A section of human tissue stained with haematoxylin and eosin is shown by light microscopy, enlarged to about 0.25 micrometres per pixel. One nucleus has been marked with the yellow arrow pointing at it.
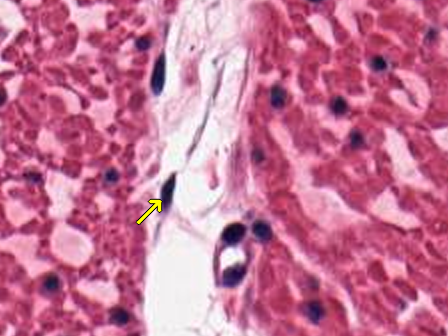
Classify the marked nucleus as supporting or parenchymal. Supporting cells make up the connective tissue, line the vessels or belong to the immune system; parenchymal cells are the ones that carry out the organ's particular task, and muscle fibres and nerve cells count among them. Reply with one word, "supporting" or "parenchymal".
supporting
